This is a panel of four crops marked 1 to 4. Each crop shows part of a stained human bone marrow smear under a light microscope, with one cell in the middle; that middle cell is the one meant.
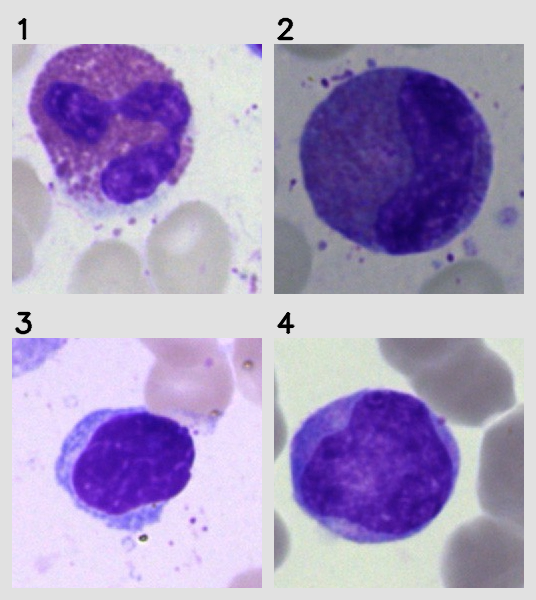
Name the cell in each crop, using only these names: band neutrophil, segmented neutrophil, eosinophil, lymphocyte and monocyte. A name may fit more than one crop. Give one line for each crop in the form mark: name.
1: eosinophil
2: eosinophil
3: lymphocyte
4: monocyte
